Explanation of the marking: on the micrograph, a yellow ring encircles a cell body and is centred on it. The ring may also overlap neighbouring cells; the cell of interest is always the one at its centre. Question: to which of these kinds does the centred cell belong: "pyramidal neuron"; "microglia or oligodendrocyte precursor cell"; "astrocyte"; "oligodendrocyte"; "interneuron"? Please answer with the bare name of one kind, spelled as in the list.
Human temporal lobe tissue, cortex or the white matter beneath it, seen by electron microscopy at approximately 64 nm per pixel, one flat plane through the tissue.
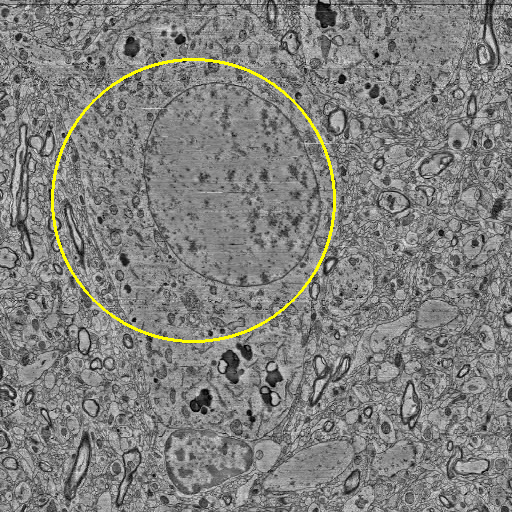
pyramidal neuron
